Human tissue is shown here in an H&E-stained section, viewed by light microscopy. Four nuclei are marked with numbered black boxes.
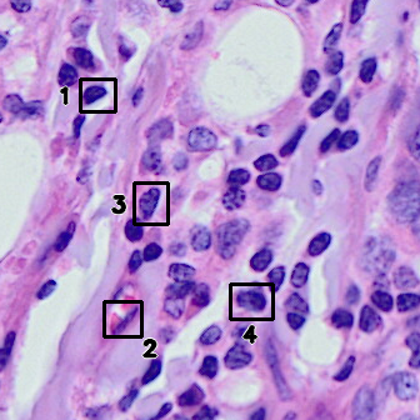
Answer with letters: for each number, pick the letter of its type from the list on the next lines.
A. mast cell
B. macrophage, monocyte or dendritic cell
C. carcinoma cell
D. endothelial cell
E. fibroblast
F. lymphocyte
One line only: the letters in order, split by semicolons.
F; D; F; F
